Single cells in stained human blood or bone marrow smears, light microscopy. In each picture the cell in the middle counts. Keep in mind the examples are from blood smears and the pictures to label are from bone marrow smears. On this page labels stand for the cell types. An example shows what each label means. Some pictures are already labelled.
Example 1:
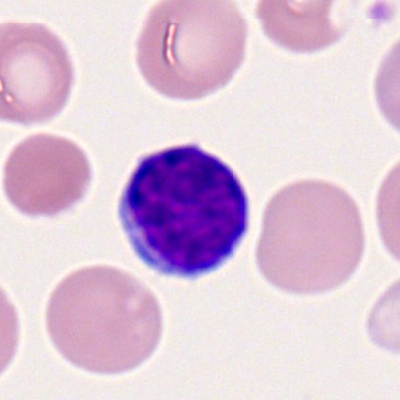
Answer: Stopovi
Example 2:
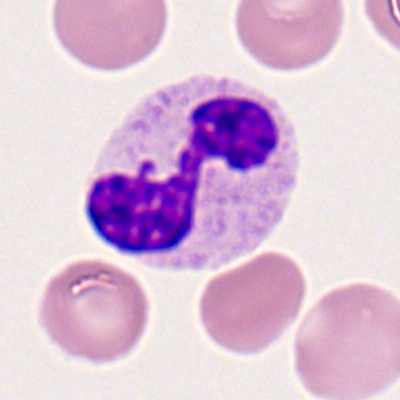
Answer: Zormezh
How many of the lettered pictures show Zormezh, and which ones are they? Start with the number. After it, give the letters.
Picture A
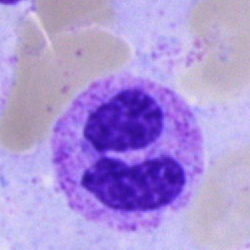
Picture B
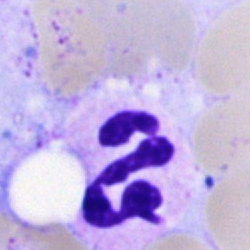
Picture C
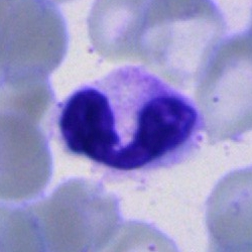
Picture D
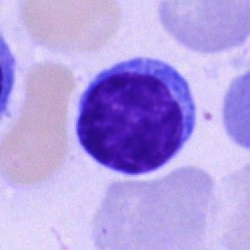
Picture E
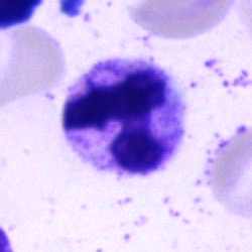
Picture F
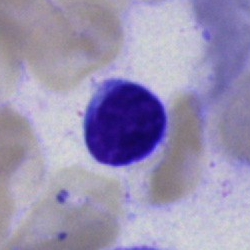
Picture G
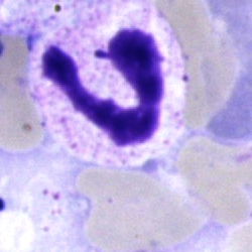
5, namely A, B, C, E, G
